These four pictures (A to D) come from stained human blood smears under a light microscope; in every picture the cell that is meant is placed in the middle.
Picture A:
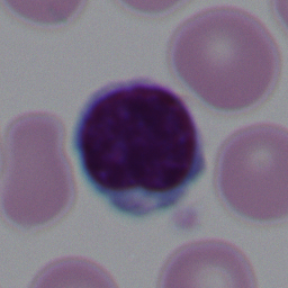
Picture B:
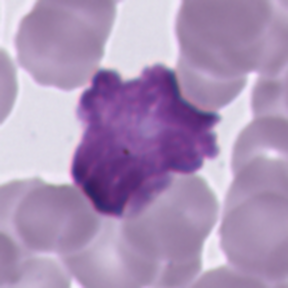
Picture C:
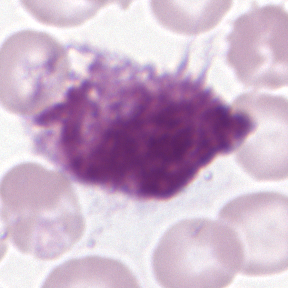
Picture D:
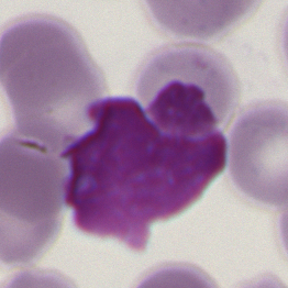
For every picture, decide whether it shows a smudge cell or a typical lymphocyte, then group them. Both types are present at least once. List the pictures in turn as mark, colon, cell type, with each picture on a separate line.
A: typical lymphocyte
B: smudge cell
C: smudge cell
D: smudge cell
